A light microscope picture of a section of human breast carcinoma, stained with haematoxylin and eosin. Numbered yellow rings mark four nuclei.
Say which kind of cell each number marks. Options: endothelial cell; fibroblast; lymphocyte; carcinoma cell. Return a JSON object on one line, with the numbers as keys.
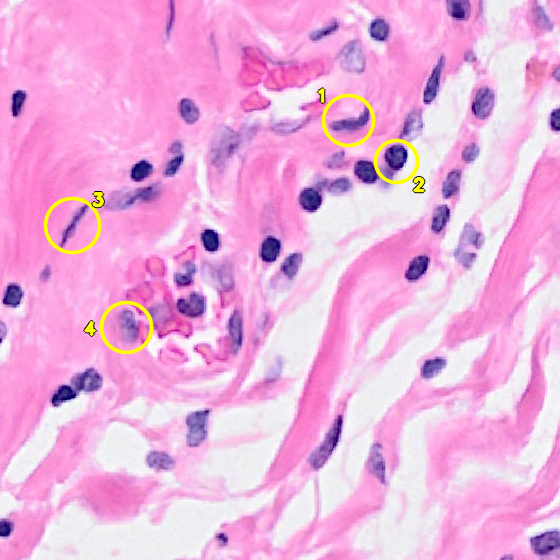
{"1": "endothelial cell", "2": "lymphocyte", "3": "fibroblast", "4": "endothelial cell"}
